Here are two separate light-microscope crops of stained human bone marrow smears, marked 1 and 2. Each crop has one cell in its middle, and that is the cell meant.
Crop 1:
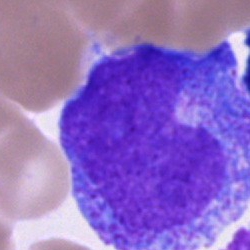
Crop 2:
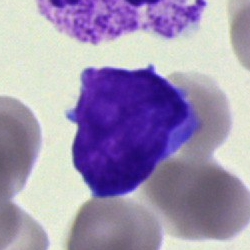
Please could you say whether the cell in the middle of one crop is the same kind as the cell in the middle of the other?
no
